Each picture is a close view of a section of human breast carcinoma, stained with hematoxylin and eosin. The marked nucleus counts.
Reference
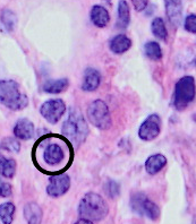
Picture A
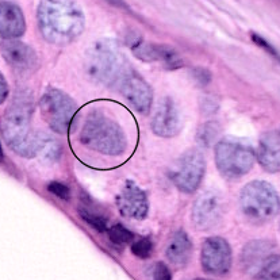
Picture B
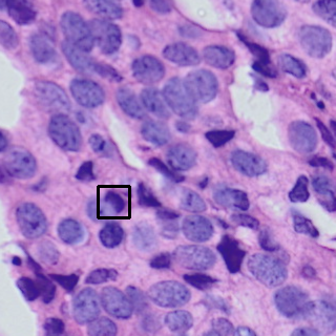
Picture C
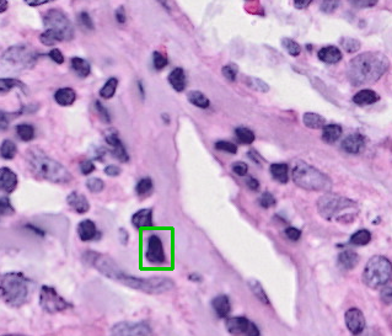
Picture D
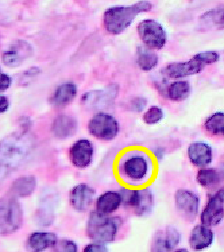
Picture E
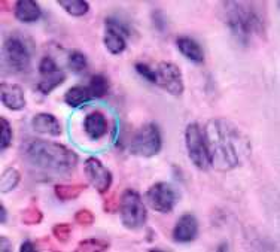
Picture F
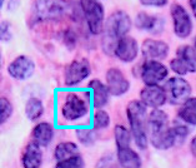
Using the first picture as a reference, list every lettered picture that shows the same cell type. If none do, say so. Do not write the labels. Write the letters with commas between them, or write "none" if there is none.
C, D, E, F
